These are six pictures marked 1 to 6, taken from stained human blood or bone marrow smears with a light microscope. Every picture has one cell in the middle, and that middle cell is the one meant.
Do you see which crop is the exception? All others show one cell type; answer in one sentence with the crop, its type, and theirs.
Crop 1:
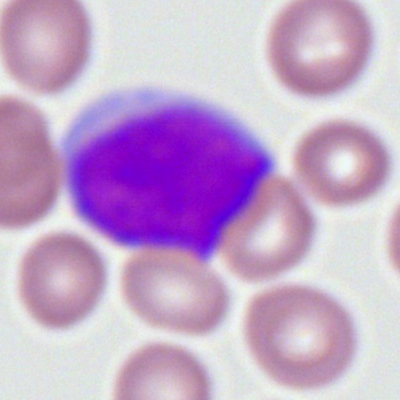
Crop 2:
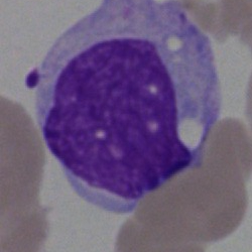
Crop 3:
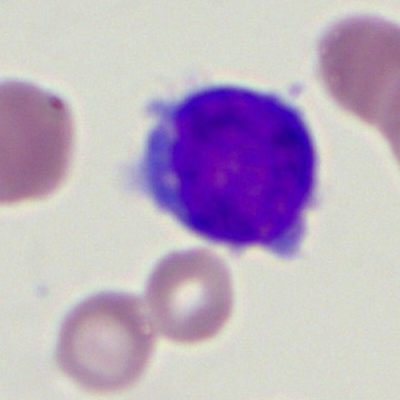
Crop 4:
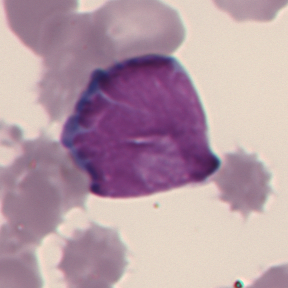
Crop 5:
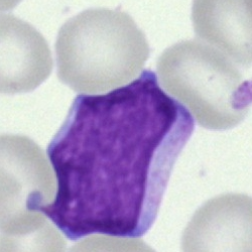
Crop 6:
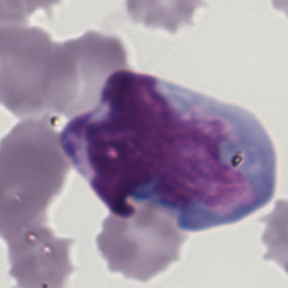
The cells centred in the other crops are all blasts, but crop 2 is a monocyte.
